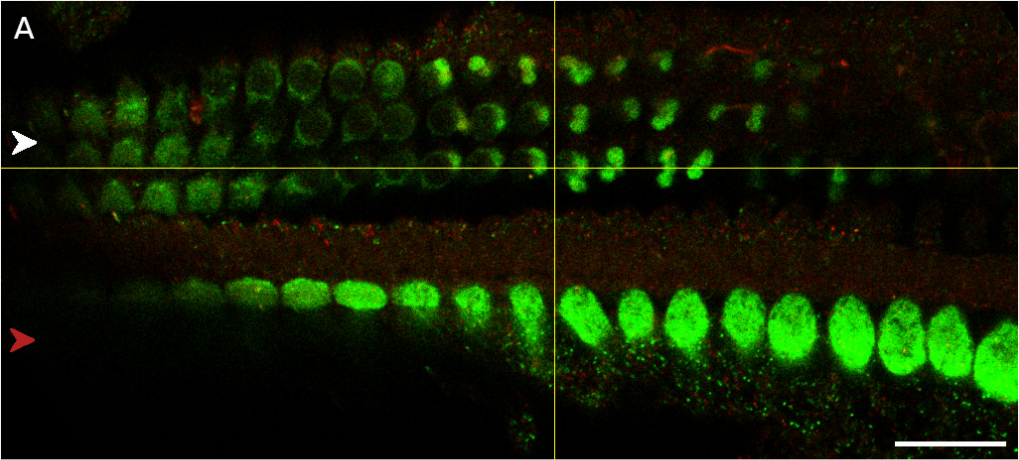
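Top-down view of the cochlear sensory epithelium with hair cells labelled green, arranged as three parallel rows of small, regularly spaced outer hair cells above and a single row of larger, oval hair cells below, separated by a band of unlabelled tissue. Toward one side the outer hair cells show compact, bright green bodies, while elsewhere they appear as rounder, more diffusely labelled profiles. Fine red and green puncta are scattered in the tissue, densest beneath the single row of large cells.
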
